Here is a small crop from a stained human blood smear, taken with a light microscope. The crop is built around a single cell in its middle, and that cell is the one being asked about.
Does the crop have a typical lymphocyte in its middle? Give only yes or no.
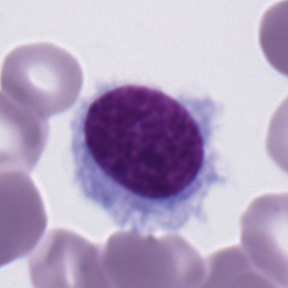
no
